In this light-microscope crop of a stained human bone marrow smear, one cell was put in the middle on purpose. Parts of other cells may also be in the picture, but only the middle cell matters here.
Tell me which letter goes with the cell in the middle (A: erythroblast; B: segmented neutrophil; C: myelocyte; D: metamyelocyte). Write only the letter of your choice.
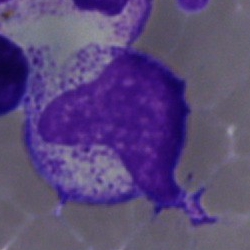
D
